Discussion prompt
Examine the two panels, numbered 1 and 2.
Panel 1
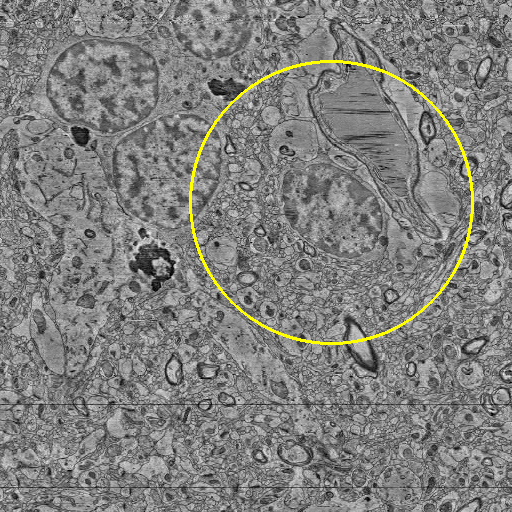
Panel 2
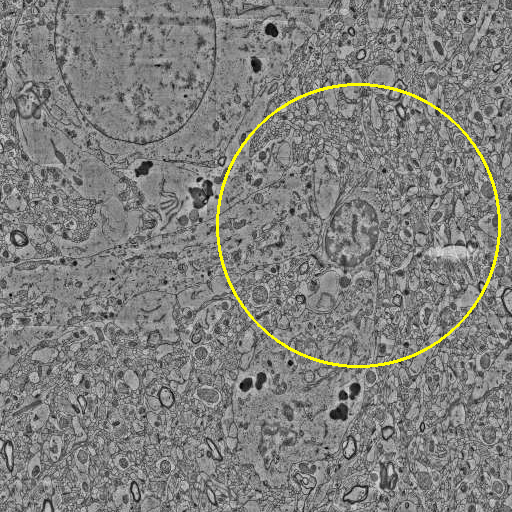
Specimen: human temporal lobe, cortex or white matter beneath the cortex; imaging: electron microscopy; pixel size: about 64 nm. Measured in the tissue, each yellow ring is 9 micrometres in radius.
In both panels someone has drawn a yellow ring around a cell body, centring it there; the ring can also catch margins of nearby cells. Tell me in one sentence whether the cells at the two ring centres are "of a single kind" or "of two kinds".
Taken together, the two cells centred in the rings of Panels 1 and 2 are of a single kind.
